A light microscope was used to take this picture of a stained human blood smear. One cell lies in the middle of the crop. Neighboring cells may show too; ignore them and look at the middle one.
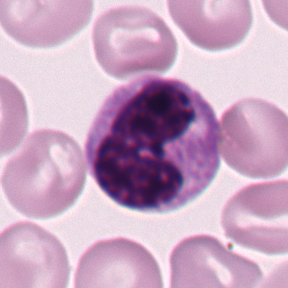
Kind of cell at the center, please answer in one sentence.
The middle of this crop is occupied by a band neutrophil.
